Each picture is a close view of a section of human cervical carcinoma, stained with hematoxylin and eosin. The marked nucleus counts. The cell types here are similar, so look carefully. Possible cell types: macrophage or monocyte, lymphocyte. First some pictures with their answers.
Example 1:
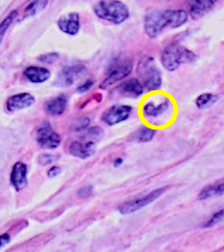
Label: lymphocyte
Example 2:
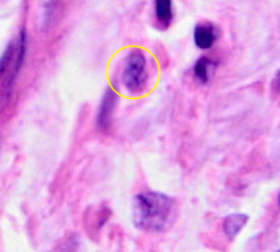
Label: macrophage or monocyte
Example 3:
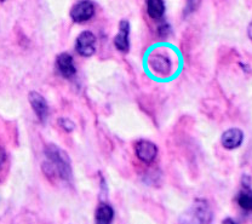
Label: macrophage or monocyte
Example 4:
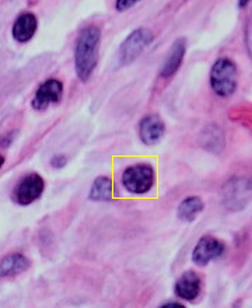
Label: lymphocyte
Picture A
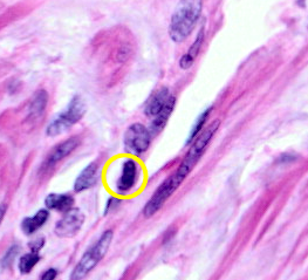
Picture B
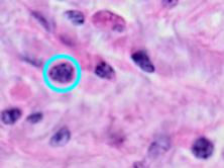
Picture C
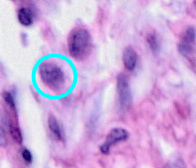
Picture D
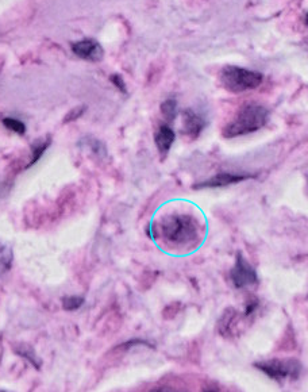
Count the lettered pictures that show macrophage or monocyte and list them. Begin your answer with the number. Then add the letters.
Count: 2 (C, D)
